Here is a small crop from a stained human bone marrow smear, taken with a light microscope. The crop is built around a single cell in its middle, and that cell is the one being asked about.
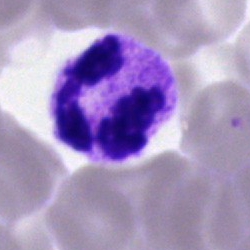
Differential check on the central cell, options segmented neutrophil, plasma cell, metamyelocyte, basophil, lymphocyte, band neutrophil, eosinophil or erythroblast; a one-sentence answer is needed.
At the middle of the frame sits a segmented neutrophil.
